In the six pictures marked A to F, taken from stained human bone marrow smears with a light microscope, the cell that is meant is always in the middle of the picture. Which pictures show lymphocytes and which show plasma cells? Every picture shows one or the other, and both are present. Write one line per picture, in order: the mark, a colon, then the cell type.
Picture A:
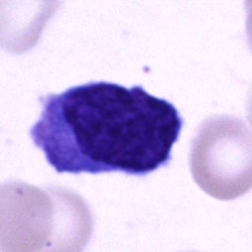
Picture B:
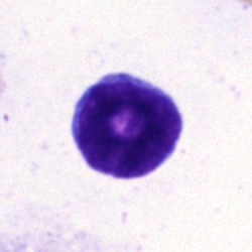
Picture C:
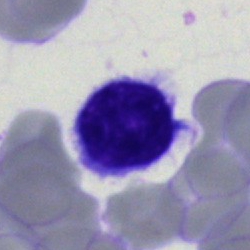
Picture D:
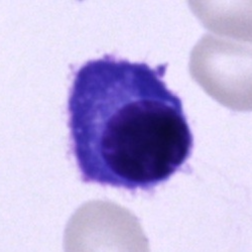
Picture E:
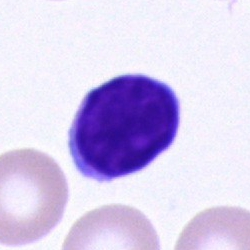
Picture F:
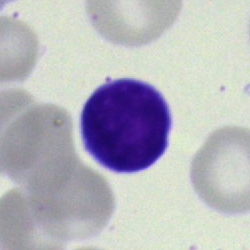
A: plasma cell
B: lymphocyte
C: lymphocyte
D: plasma cell
E: lymphocyte
F: lymphocyte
